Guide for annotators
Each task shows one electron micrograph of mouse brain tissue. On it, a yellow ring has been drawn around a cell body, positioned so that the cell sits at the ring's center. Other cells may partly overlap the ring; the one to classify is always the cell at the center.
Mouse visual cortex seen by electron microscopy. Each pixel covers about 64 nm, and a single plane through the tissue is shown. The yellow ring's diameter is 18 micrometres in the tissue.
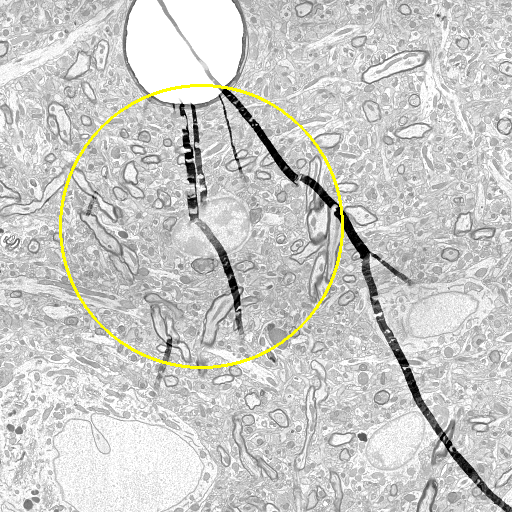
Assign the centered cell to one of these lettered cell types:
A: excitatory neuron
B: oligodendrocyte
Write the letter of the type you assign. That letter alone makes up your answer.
B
